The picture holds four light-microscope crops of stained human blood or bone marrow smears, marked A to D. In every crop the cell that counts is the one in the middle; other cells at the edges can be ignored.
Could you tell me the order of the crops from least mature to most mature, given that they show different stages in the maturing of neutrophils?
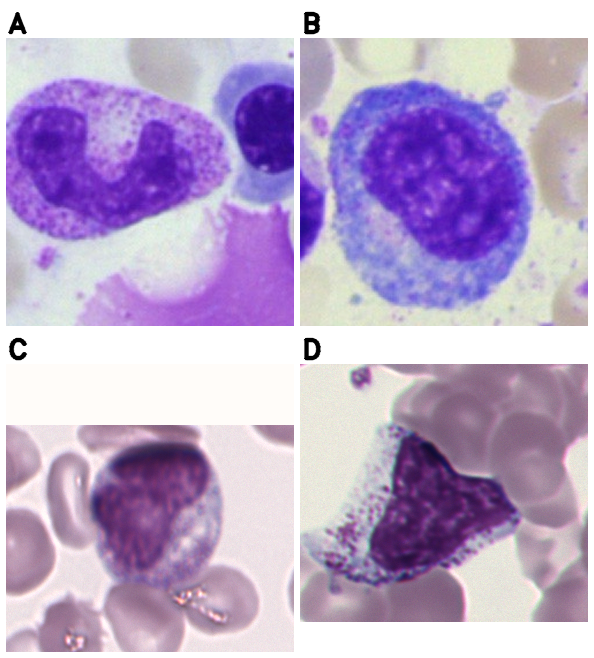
B, D, C, A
